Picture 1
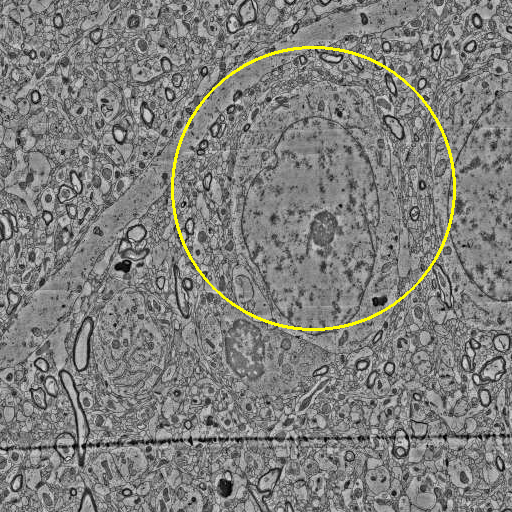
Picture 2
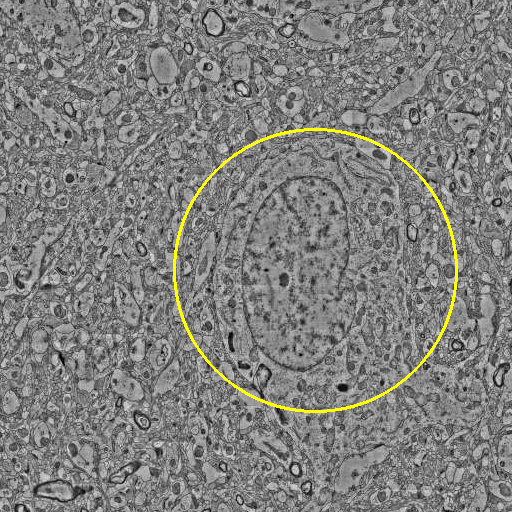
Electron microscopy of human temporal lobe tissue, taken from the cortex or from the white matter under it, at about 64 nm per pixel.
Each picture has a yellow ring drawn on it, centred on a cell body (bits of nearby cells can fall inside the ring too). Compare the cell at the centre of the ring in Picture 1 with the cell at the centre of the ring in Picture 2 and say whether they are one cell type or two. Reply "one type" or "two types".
two types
